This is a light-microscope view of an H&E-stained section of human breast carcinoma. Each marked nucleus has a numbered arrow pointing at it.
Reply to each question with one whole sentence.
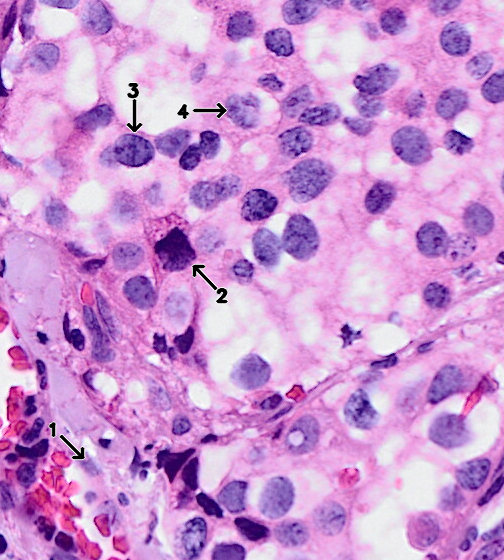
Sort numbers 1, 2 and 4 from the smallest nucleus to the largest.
The order from the smallest nucleus to the largest is 1, 4, 2.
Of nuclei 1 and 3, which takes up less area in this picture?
Number 1 is smaller, since number 3 takes up about 3 times as much area.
